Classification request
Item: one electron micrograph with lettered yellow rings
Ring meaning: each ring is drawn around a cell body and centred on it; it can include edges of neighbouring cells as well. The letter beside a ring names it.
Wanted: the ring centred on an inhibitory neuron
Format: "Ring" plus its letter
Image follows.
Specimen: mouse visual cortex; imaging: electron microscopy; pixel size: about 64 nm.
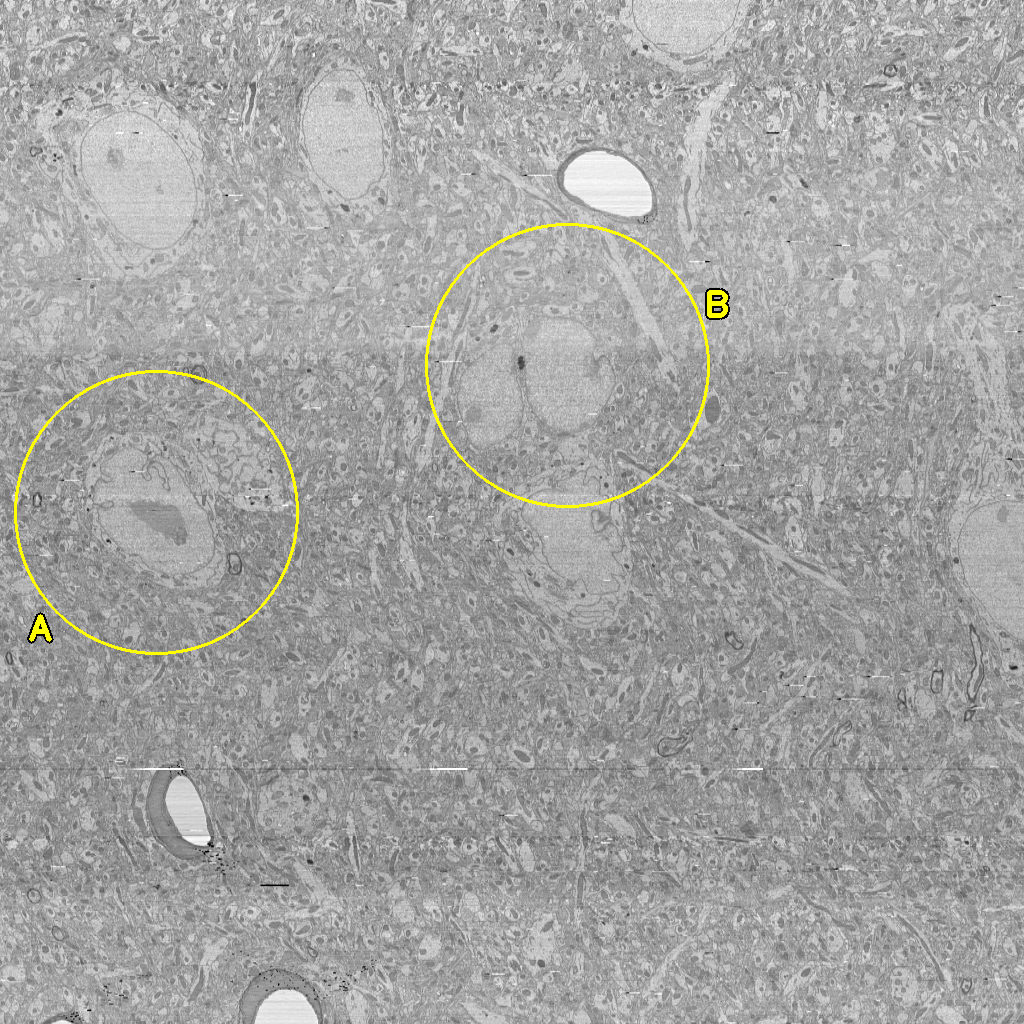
Ring A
